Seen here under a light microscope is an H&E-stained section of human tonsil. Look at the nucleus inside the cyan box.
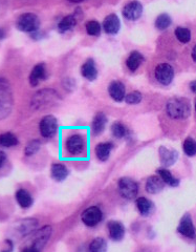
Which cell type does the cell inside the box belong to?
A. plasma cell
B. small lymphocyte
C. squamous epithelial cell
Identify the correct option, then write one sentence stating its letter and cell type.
Option A correctly identifies the cell inside the box as a plasma cell.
